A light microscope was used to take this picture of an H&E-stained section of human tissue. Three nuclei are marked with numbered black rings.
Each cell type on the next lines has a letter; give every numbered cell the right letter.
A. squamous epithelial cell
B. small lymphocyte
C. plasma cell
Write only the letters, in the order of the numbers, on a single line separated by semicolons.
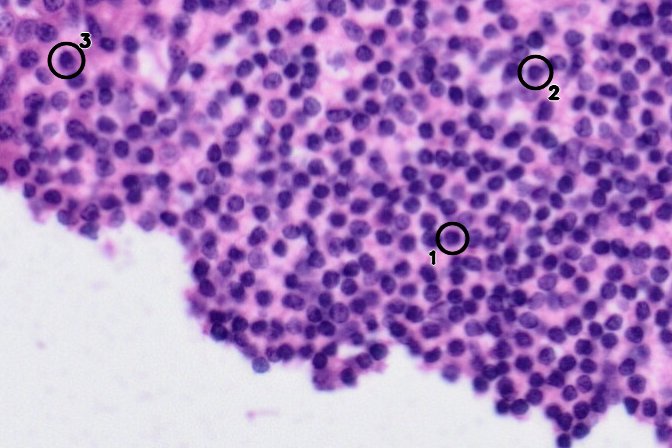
B; B; C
